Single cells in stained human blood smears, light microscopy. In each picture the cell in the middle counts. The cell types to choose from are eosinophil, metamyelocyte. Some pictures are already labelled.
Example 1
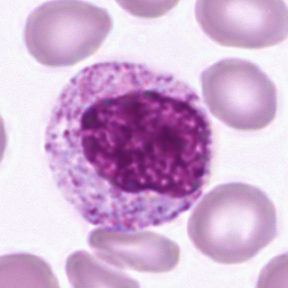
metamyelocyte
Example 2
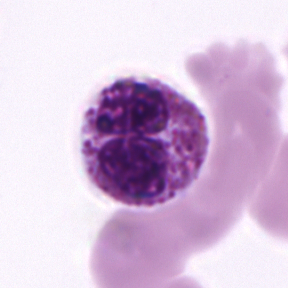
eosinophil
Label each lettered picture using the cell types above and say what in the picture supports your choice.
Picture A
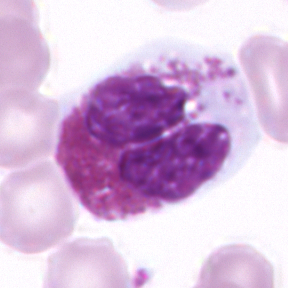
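eosinophil. Evidence: The nucleus is divided into two lobes.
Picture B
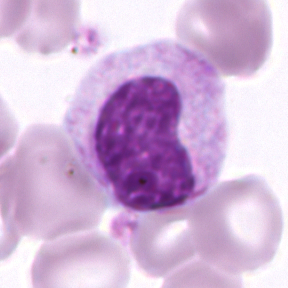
metamyelocyte. Evidence: The nucleus is kidney-shaped, with its indentation on the right side.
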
